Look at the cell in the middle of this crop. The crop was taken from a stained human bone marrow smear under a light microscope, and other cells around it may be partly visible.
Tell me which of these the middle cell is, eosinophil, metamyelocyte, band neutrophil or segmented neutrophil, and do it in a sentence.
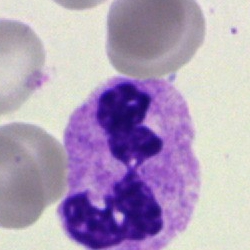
The cell at the centre of the field is a segmented neutrophil.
